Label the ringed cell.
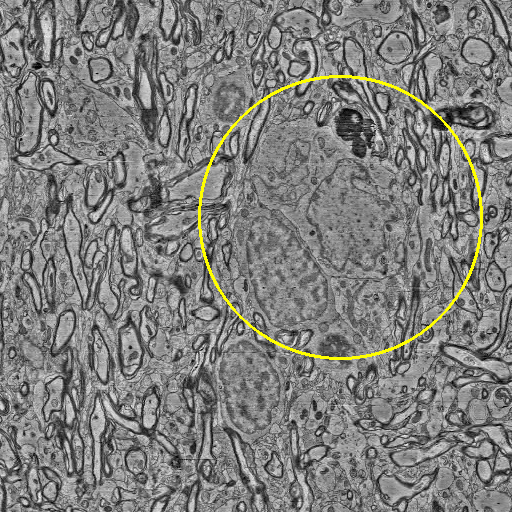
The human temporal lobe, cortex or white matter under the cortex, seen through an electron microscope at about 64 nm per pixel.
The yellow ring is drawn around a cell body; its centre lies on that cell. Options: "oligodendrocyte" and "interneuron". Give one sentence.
The ringed cell is an interneuron.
